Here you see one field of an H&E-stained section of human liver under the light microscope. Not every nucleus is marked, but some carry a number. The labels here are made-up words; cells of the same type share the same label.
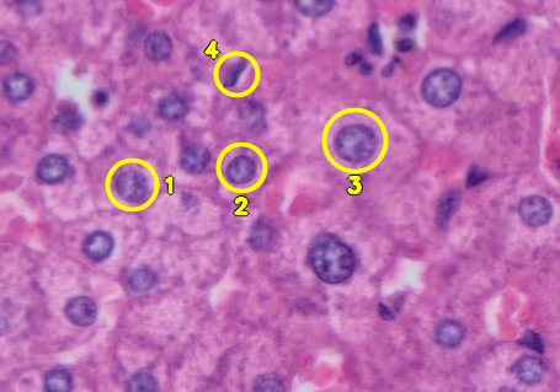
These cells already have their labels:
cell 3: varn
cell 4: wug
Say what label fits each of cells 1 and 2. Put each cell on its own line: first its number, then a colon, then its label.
1: varn
2: varn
